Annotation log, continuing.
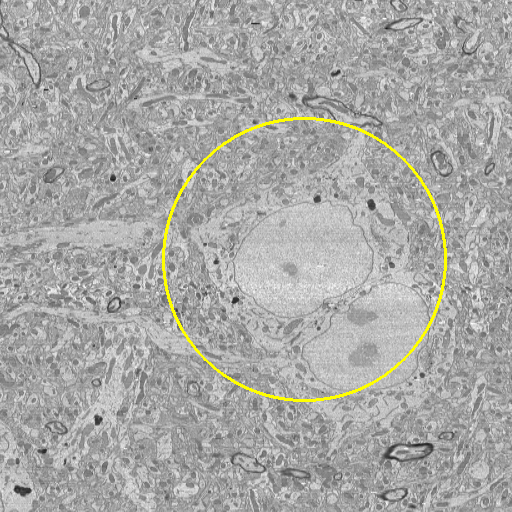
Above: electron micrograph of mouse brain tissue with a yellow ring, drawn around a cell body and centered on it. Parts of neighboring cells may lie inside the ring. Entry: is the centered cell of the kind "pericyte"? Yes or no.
No, the centered cell is of another kind.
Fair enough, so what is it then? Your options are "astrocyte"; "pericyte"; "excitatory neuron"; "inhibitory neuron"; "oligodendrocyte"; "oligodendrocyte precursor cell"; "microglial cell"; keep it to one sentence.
Instead, the cell at the centre of the ring is an excitatory neuron.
